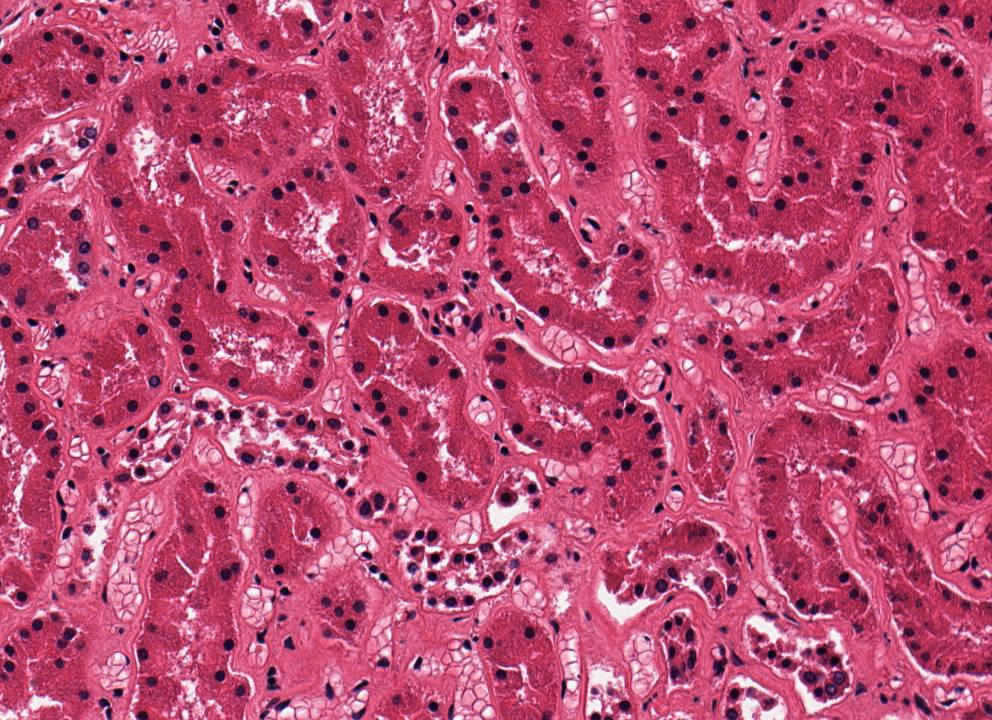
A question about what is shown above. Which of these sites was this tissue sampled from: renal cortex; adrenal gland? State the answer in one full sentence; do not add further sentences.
The sample was taken from the renal cortex.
